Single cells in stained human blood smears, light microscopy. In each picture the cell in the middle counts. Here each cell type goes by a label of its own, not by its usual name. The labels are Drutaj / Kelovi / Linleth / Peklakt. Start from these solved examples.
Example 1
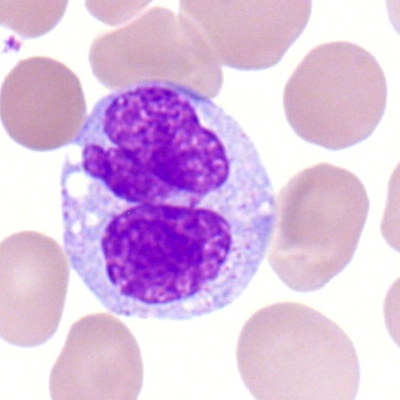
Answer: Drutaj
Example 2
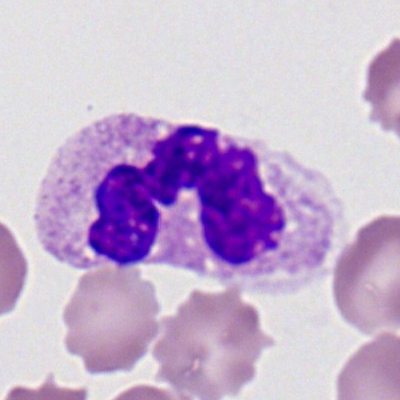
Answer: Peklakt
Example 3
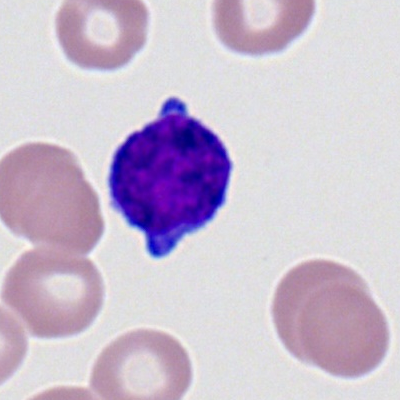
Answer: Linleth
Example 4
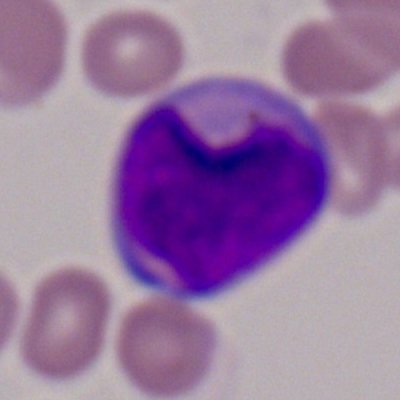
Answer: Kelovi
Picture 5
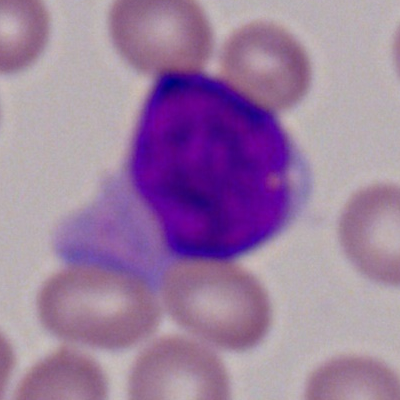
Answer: Kelovi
